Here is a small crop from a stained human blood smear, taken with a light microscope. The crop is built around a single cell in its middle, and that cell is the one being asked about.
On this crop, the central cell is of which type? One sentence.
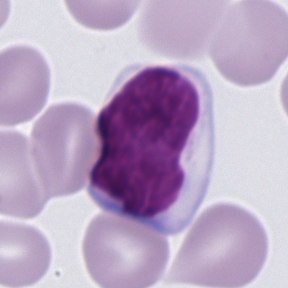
Among the cells in view, the one in the middle is a large granular lymphocyte.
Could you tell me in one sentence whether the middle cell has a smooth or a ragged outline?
Worth noting that the cell border is smooth and lacks projections.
